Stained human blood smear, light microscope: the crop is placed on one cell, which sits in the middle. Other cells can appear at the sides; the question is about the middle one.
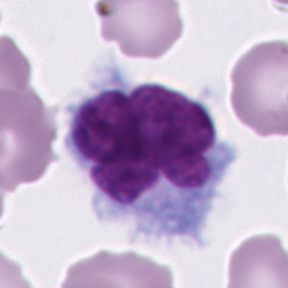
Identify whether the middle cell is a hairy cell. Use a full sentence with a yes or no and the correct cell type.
Yes, shown in the middle of the crop is a hairy cell.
